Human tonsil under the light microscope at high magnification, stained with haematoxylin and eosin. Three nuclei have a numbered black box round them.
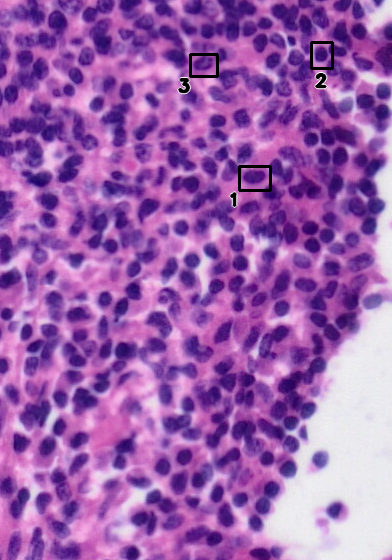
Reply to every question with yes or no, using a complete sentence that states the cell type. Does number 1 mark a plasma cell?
Yes, in this section the cell with number 1 is a plasma cell.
